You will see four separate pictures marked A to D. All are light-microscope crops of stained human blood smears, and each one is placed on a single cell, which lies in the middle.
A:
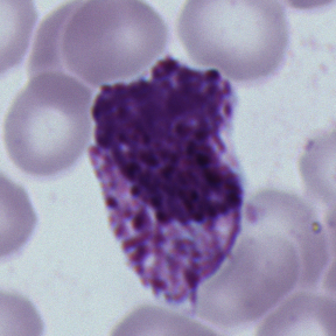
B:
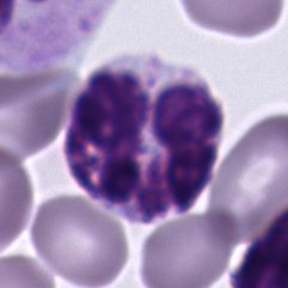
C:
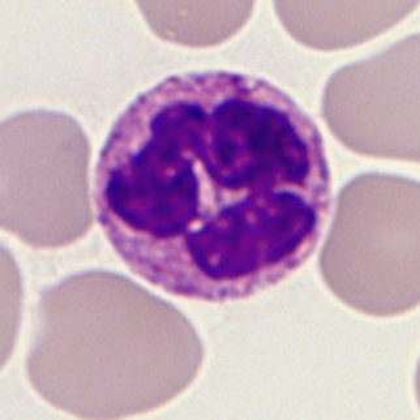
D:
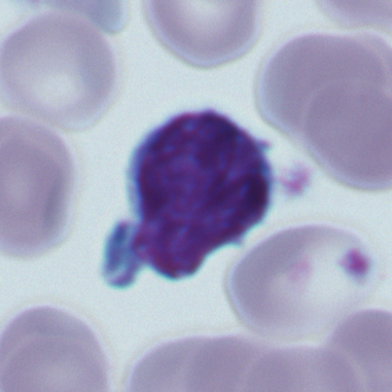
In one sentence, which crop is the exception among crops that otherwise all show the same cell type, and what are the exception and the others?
All the crops show basophils except crop D, which shows a lymphocyte.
